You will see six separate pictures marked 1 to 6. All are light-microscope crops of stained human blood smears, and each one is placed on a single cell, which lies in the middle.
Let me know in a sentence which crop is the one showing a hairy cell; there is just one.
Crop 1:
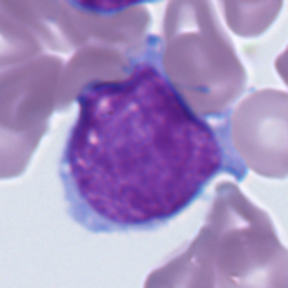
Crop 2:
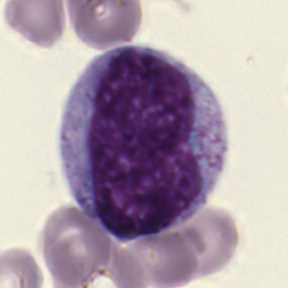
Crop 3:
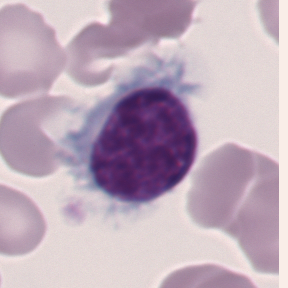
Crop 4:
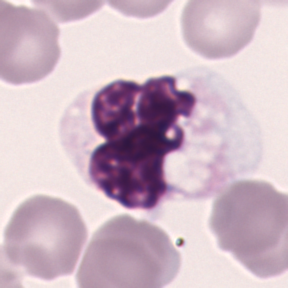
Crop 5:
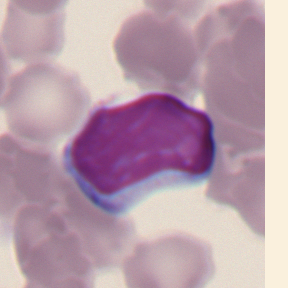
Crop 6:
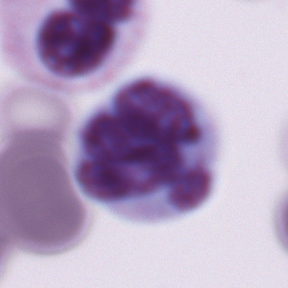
The crop with a hairy cell at its center is crop 3.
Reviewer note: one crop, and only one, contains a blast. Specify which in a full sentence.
Crop 1 represents a blast, while the other crops do not.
